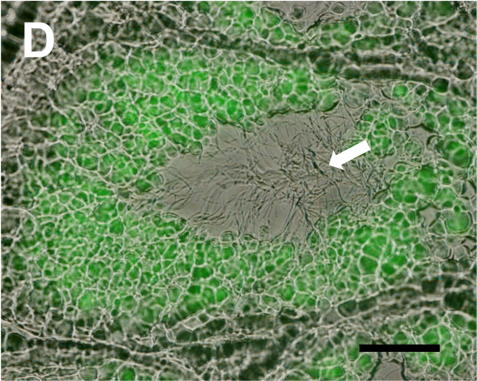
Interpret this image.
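Section of a seminiferous tubule filled with germ cells, seen as a thick epithelium around an elongated central lumen. The epithelium consists of many tightly packed, rounded to polygonal cells whose outlines are drawn as bright lines in the bright-field overlay. Most of these cells are filled with green fluorescence, which covers the epithelium on all sides of the lumen. The lumen itself is grey and free of green fluorescence. Within it lie fine dark thread-like strands, consistent with sperm released into the lumen.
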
